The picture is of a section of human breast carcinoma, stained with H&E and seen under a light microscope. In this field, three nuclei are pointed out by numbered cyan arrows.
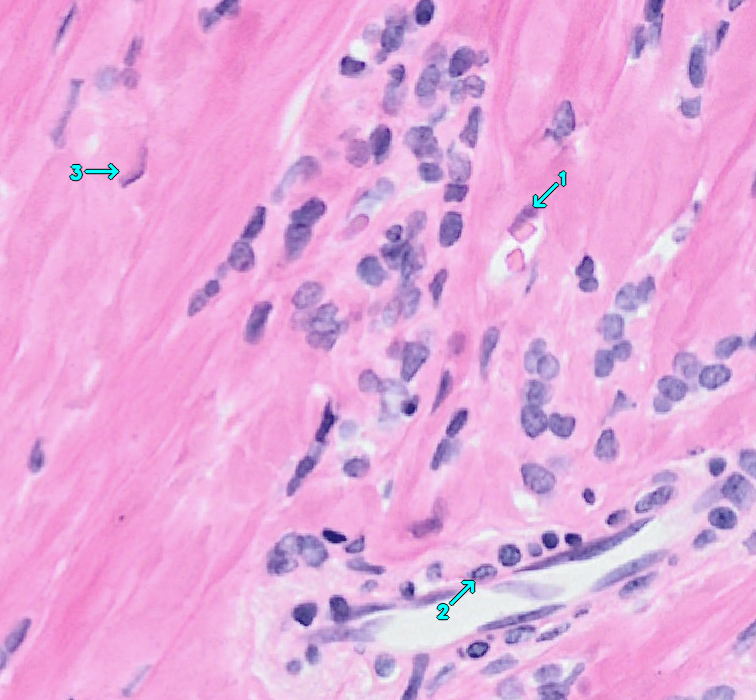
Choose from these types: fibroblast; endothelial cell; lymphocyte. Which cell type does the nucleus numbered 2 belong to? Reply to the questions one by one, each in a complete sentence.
Classified as an endothelial cell is the cell with the number 2.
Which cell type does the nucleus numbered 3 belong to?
The numbered cell 3 is identified here as a fibroblast.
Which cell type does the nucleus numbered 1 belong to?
Cell 1 in the field of view is an endothelial cell.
